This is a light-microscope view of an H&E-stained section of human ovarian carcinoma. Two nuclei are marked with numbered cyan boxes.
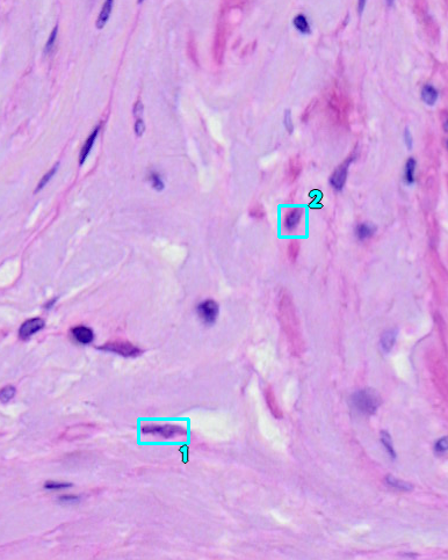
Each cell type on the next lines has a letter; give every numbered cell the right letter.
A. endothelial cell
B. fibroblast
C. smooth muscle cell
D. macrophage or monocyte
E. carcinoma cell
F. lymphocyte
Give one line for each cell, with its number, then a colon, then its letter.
1: B
2: C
